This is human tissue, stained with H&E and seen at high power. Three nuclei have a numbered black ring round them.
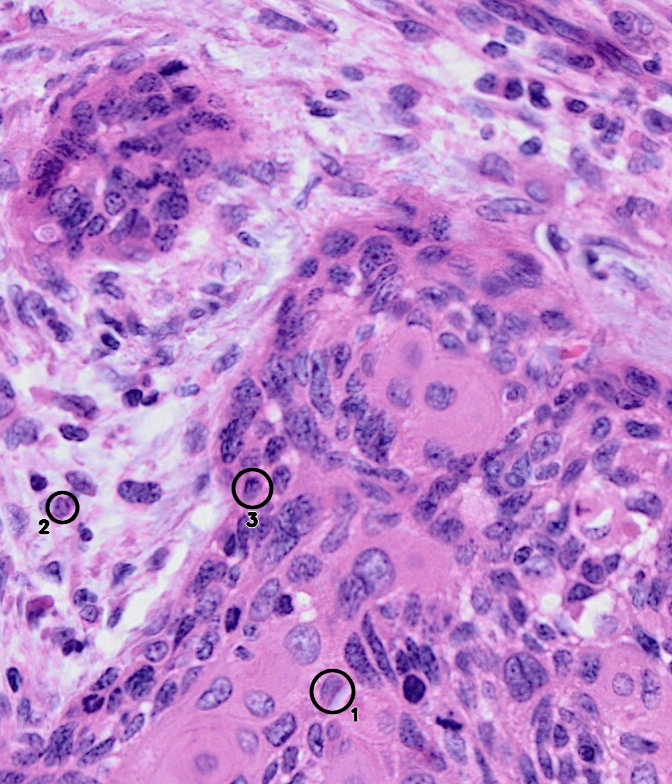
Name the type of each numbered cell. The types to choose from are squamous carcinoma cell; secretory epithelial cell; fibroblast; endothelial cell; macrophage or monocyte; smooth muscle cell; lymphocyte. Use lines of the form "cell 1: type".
cell 1: squamous carcinoma cell
cell 2: macrophage or monocyte
cell 3: squamous carcinoma cell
